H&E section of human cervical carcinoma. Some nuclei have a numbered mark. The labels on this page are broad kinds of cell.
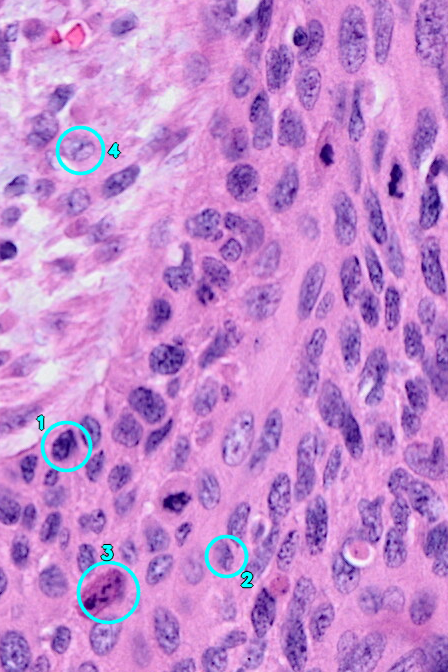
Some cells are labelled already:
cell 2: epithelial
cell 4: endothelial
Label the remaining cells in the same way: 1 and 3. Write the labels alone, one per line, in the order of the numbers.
epithelial
epithelial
